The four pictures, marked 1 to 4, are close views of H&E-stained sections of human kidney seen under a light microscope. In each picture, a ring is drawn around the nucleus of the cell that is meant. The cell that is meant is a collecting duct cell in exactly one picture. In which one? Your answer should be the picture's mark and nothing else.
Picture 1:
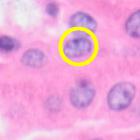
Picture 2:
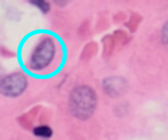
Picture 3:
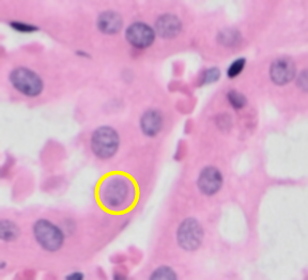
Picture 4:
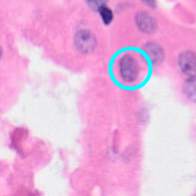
1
